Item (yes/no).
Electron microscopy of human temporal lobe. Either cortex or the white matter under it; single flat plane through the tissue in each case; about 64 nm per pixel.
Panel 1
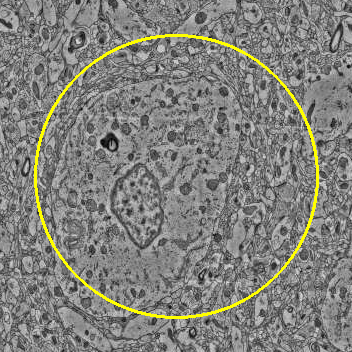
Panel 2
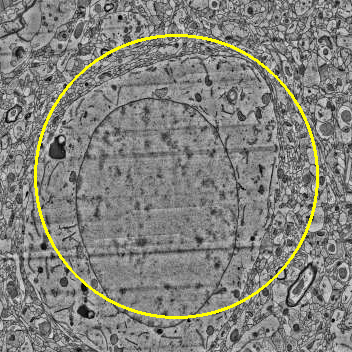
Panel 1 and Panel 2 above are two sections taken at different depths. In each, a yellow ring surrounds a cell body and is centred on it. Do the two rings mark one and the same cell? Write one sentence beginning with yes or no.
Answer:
No, in this micrograph the two rings mark two different cells.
